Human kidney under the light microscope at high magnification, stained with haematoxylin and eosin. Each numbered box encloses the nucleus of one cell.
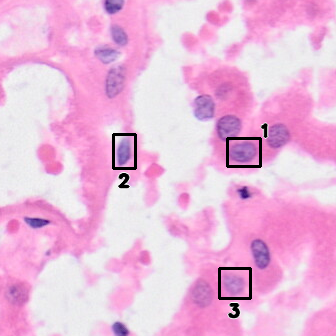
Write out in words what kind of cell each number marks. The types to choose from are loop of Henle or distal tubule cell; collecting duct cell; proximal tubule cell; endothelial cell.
Cells 1 and 3 are proximal tubule cells. Cell 2 is an endothelial cell.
